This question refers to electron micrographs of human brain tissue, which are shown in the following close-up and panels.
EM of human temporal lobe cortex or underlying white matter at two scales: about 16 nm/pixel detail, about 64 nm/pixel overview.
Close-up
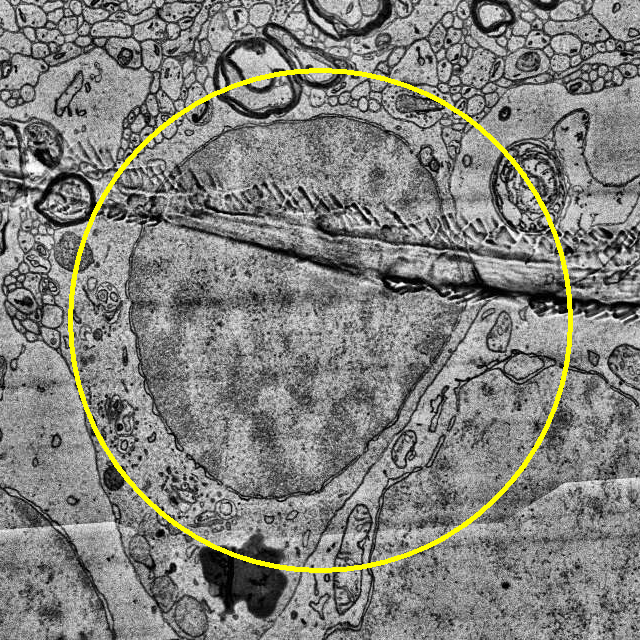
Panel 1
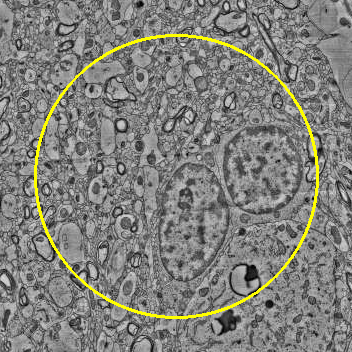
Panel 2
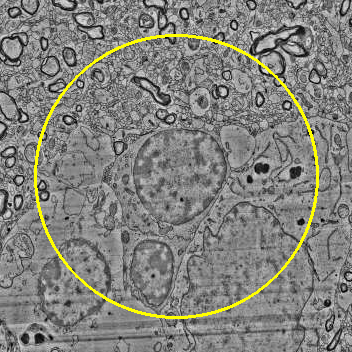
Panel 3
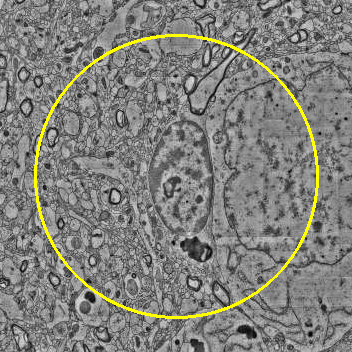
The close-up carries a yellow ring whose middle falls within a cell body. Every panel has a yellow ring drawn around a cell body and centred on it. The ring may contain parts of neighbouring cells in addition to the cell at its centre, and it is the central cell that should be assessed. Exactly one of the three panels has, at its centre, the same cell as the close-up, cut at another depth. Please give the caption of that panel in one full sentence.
The cell in the close-up is identified by the ring in Panel 2.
